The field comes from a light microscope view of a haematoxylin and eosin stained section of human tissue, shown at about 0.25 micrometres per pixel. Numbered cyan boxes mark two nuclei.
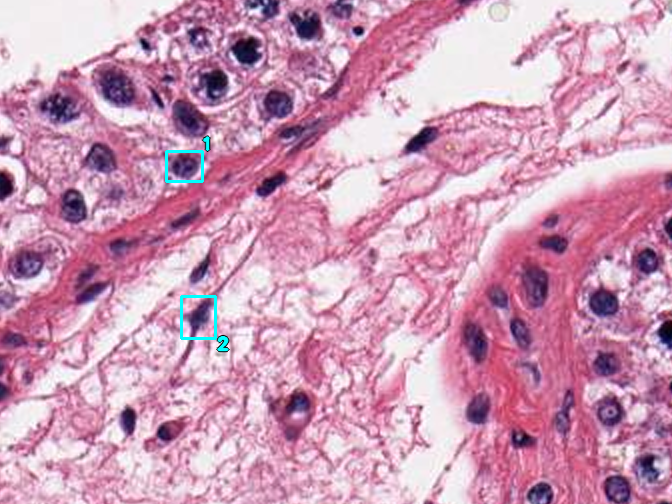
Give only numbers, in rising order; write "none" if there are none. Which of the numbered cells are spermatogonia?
1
